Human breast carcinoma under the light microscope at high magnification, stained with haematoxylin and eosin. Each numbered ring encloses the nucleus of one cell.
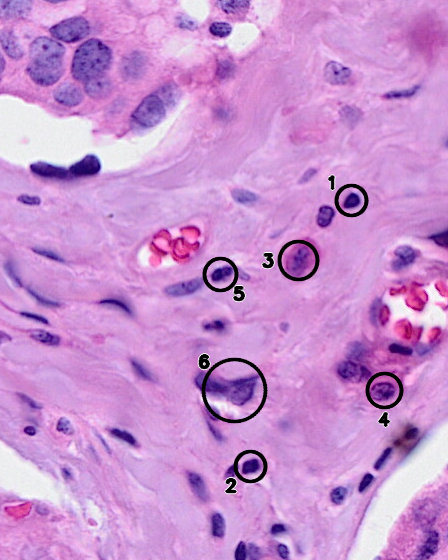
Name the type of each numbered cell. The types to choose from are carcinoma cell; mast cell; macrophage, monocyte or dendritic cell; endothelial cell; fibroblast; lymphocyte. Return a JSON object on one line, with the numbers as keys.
{"1": "lymphocyte", "2": "lymphocyte", "3": "mast cell", "4": "mast cell", "5": "lymphocyte", "6": "fibroblast"}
